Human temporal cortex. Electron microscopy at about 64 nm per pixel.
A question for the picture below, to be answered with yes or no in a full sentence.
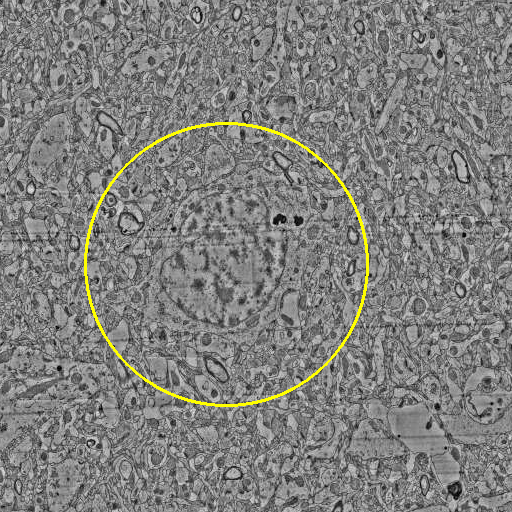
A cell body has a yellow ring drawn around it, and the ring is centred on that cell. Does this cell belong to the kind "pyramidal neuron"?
No, the pictured cell at the ring's centre belongs to another kind.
